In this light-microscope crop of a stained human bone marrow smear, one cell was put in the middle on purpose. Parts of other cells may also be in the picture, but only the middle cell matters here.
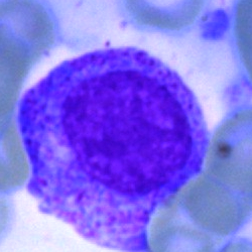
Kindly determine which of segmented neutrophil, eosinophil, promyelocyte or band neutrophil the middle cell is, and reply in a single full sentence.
The cell in the middle of this crop is a promyelocyte.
